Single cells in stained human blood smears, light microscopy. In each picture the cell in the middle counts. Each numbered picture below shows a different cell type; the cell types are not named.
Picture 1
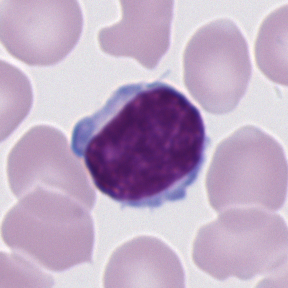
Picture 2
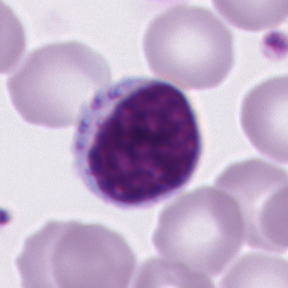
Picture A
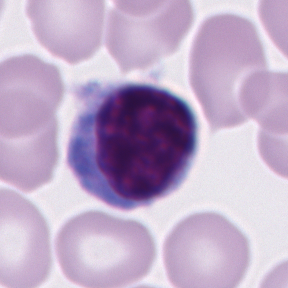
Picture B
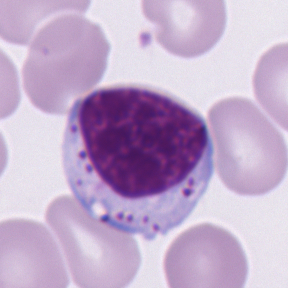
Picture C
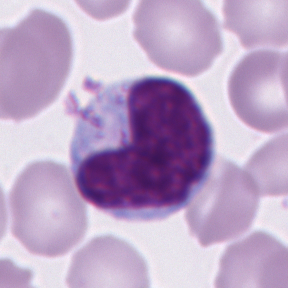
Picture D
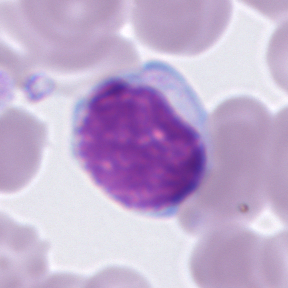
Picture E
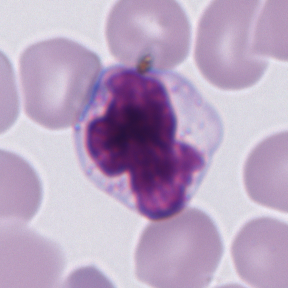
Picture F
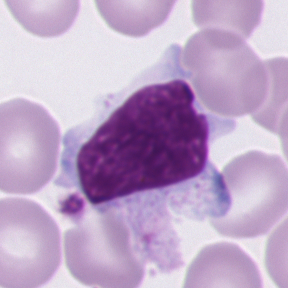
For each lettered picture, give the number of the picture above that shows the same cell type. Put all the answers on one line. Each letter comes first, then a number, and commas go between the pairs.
A 1, B 2, C 2, D 2, E 2, F 2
